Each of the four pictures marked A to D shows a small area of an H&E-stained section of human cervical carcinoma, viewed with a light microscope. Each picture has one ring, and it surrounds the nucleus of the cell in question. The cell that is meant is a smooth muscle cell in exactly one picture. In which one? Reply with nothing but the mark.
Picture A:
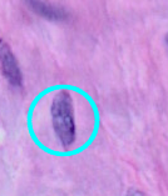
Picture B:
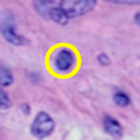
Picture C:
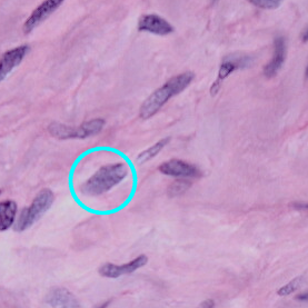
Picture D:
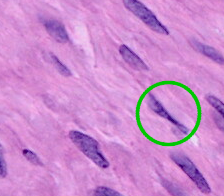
B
